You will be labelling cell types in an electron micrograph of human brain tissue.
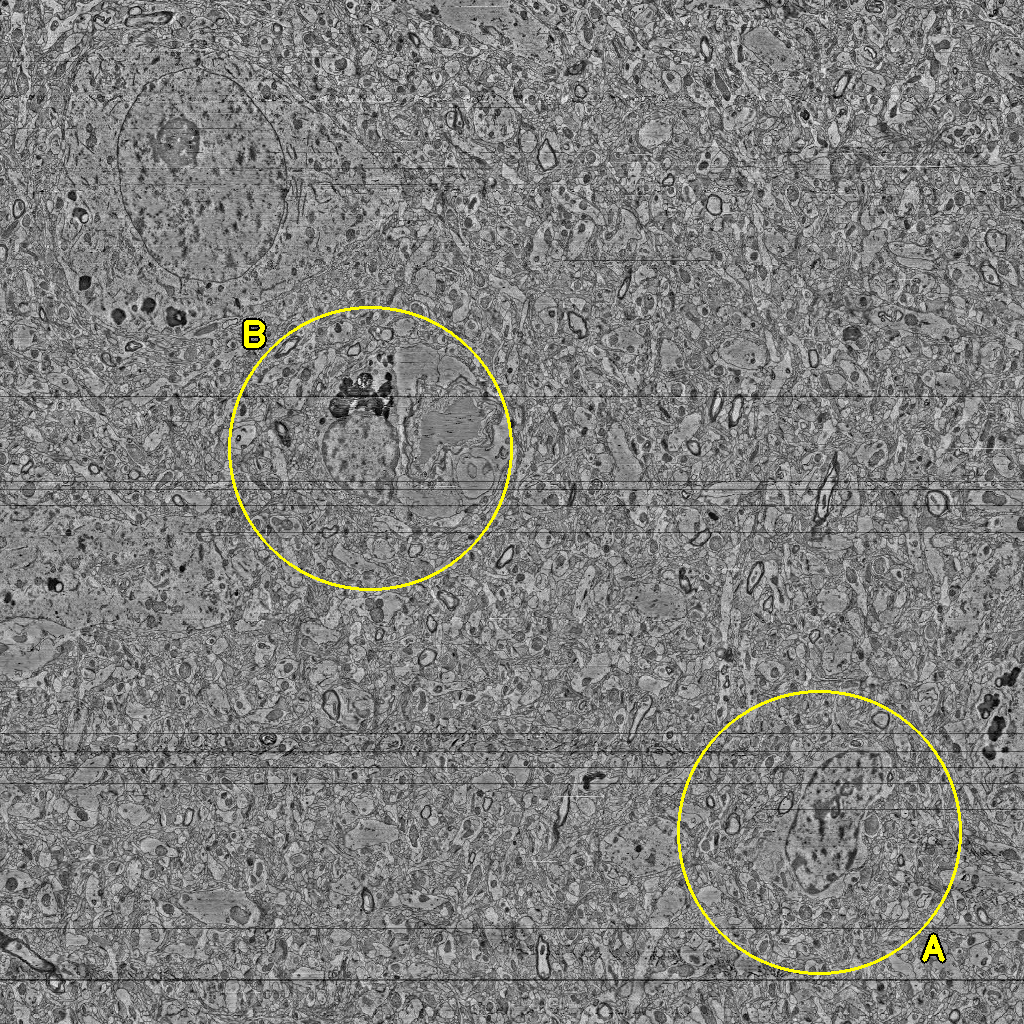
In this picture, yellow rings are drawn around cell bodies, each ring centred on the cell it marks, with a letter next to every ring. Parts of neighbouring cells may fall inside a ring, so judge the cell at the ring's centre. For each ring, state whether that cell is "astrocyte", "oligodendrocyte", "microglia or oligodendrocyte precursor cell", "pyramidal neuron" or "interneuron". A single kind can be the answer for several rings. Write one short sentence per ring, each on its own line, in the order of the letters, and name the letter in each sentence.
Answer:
Ring A contains a microglial cell or oligodendrocyte precursor cell at its centre.
Ring B contains an oligodendrocyte at its centre.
